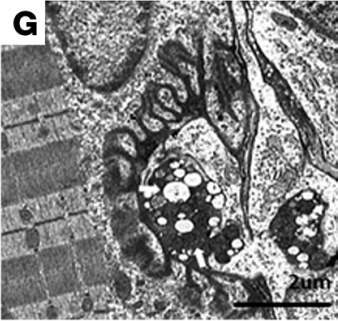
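This electron micrograph shows a motor nerve terminal lying beside a skeletal muscle fibre, whose cross-striated sarcomeres fill the left side. The terminal lacks the dense clusters of small synaptic vesicles and the filamentous cytoskeletal texture expected in a healthy terminal. Folded membranes surround the terminal region, and a nucleus of a neighbouring cell is seen at the top.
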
